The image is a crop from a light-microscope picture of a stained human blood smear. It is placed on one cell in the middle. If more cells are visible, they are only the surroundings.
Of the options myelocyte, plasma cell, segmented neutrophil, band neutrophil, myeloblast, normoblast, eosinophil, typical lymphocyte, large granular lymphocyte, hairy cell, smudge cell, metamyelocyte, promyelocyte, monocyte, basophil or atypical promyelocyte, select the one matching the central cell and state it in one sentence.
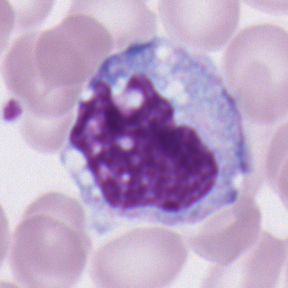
The cell around which this crop is centred is a monocyte.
